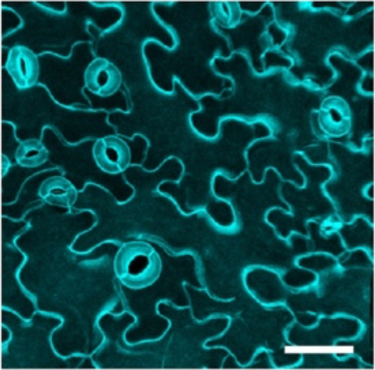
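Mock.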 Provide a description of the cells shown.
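Leaf epidermis of large pavement cells with deeply wavy, interlocking jigsaw-like walls. Scattered among them are single stomata, each a pair of kidney-shaped guard cells around a central pore, spaced apart by pavement cells.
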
